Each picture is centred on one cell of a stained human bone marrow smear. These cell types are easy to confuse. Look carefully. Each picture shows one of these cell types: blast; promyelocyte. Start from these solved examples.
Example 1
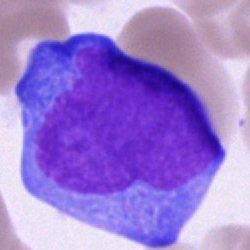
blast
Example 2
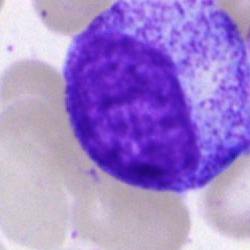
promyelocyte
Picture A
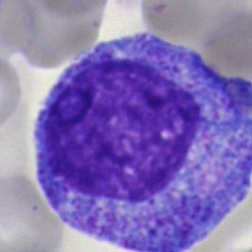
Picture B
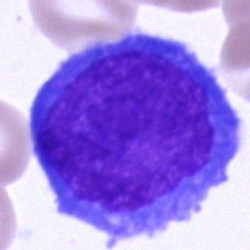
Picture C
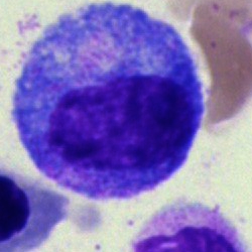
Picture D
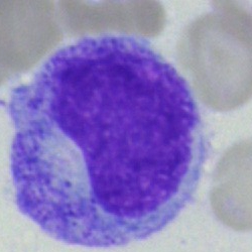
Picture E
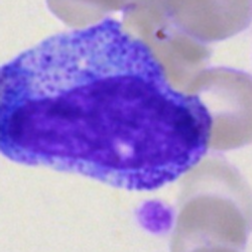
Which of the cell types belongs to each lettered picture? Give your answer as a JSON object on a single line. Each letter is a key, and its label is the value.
{"A": "promyelocyte", "B": "blast", "C": "promyelocyte", "D": "promyelocyte", "E": "promyelocyte"}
